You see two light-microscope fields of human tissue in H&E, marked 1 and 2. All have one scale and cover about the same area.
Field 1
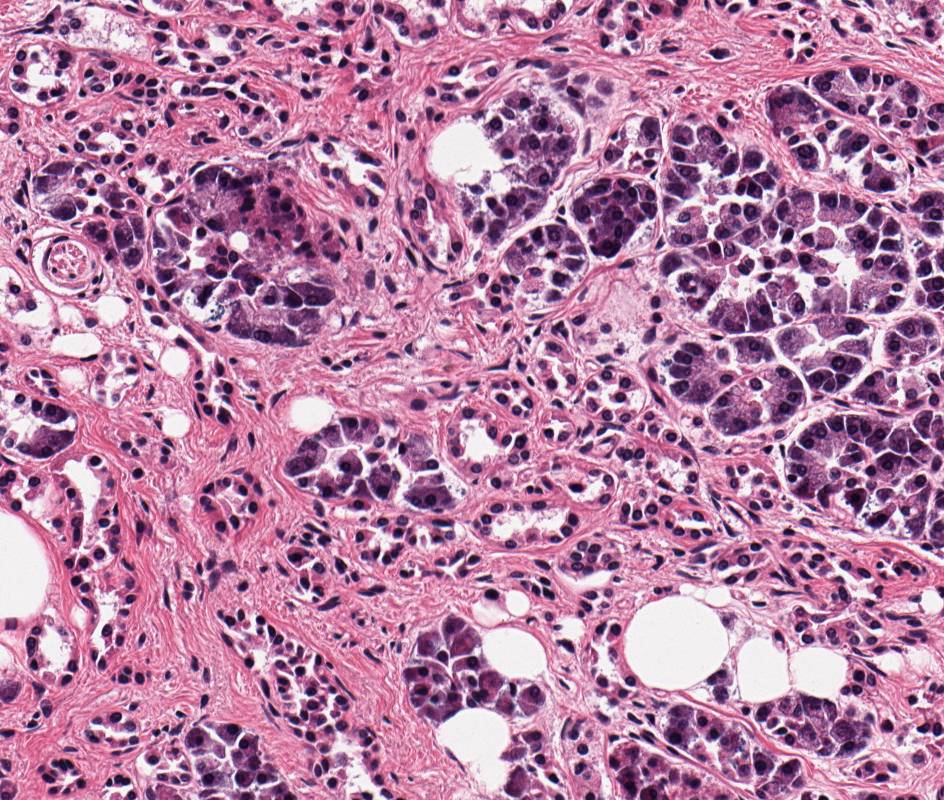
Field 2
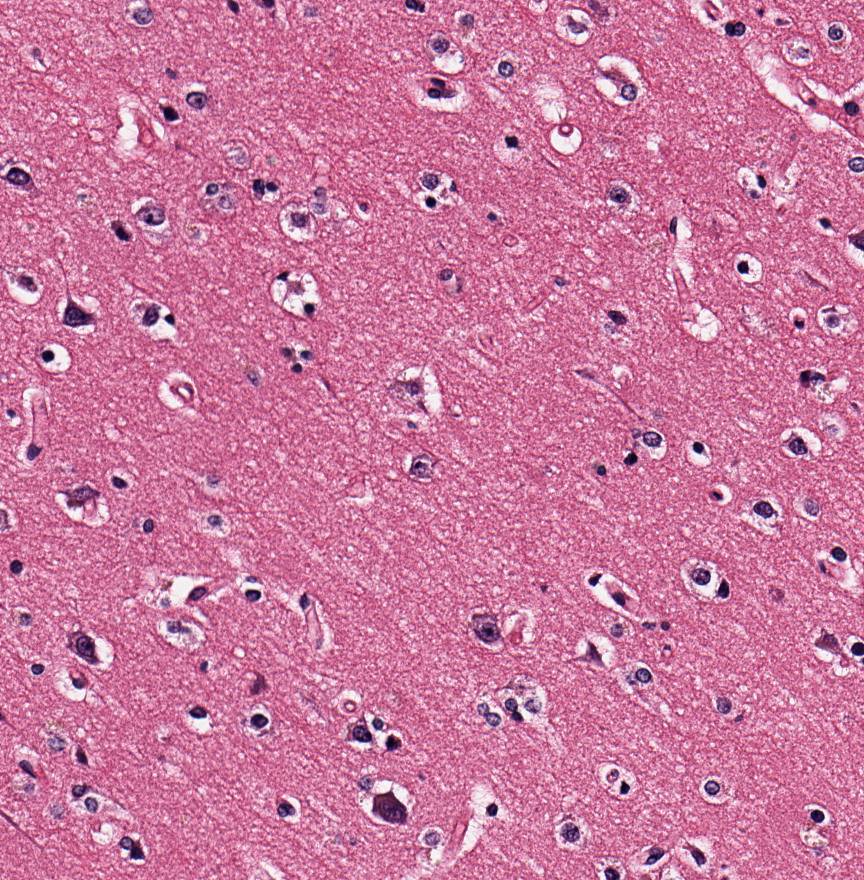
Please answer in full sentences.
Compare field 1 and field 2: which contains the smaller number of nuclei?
There are fewer nuclei in field 2.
